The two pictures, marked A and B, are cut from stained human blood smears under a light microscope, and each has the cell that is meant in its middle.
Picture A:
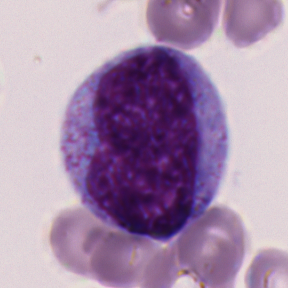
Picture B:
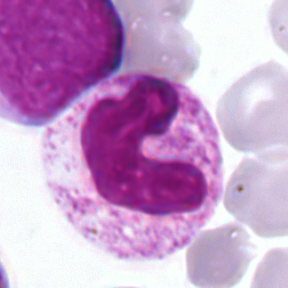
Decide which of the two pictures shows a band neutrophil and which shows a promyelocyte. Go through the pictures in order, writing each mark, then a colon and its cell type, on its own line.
A: promyelocyte
B: band neutrophil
